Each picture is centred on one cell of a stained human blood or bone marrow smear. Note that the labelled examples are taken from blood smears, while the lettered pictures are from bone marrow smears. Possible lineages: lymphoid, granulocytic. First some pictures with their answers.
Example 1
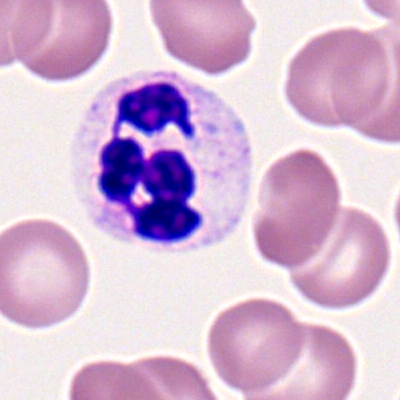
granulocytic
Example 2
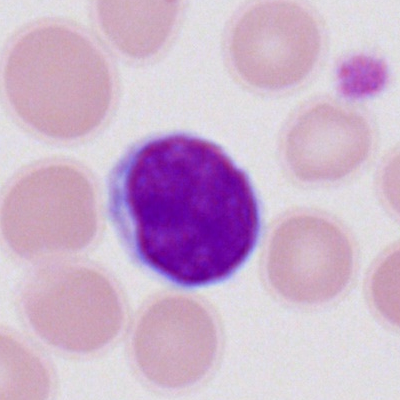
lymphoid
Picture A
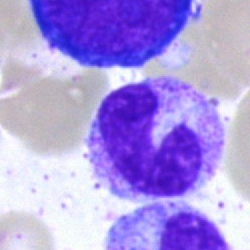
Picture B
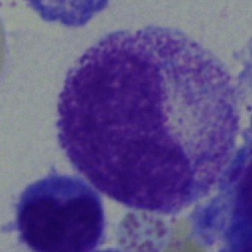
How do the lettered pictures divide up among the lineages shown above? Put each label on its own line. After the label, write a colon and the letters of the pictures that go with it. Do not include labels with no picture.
granulocytic: A, B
